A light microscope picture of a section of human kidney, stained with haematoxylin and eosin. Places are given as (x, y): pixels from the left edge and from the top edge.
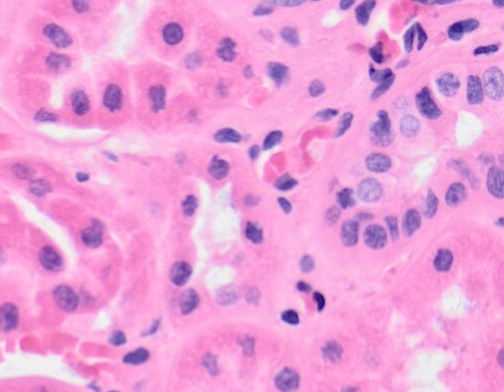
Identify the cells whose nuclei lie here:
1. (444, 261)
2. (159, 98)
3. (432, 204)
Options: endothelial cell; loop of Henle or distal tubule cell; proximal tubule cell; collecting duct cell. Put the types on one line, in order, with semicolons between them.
proximal tubule cell; proximal tubule cell; collecting duct cell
